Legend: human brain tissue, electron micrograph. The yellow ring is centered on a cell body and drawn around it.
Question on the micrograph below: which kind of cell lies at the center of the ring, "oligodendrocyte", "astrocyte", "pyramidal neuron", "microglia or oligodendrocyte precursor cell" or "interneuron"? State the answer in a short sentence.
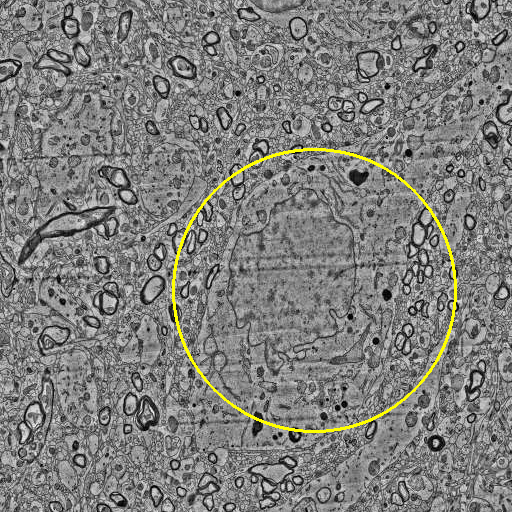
At the center of the ring lies a pyramidal neuron.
